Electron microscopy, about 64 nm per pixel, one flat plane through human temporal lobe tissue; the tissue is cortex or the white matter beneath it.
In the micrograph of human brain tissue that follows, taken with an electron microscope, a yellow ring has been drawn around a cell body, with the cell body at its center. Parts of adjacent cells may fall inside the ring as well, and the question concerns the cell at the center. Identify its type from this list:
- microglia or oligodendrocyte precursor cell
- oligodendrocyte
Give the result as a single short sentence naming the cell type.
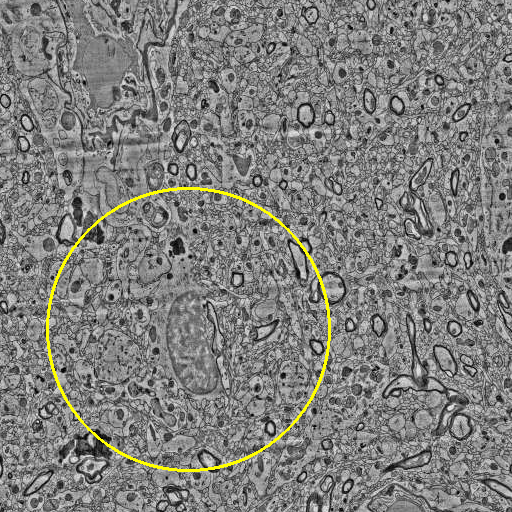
The ring is centered on an oligodendrocyte.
